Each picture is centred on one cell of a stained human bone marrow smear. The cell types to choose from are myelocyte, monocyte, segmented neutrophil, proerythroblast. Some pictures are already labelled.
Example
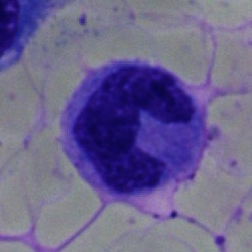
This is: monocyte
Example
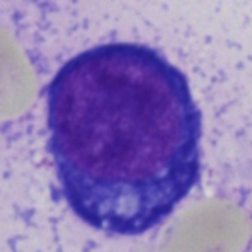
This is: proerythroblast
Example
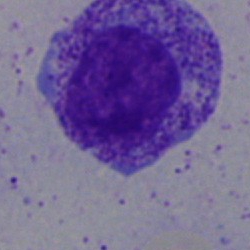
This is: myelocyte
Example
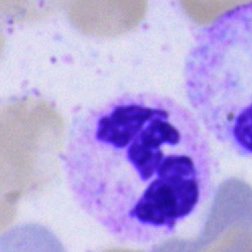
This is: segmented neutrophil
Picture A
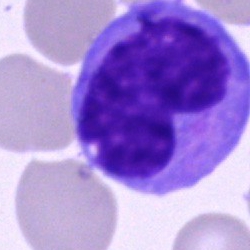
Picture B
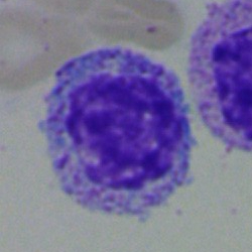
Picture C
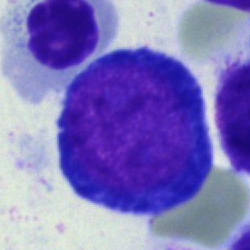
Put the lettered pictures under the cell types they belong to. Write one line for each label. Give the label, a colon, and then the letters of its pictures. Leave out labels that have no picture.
myelocyte: B
monocyte: A
proerythroblast: C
